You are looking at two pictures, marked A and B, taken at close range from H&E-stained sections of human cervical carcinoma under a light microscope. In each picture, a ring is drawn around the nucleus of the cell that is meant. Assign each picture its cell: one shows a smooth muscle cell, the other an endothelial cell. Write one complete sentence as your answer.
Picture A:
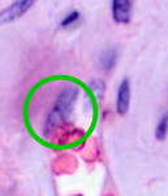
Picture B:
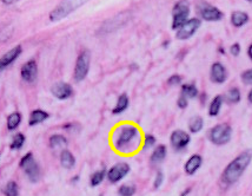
In picture A the cell is an endothelial cell; in picture B, a smooth muscle cell.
